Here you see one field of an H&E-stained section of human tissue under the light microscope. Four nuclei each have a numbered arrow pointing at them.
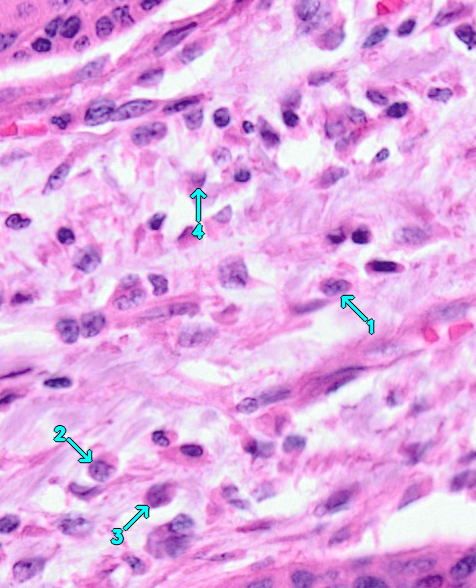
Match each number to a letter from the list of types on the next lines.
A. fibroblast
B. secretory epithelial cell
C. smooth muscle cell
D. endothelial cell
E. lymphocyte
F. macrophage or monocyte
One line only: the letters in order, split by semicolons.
F; F; F; A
